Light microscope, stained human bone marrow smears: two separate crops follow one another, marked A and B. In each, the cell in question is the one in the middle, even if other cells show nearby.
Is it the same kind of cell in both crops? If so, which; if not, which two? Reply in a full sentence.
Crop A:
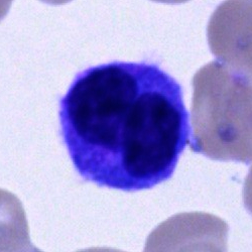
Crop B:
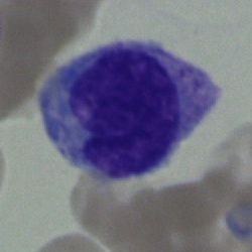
Yes, monocytes occupy the centre of both crops.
